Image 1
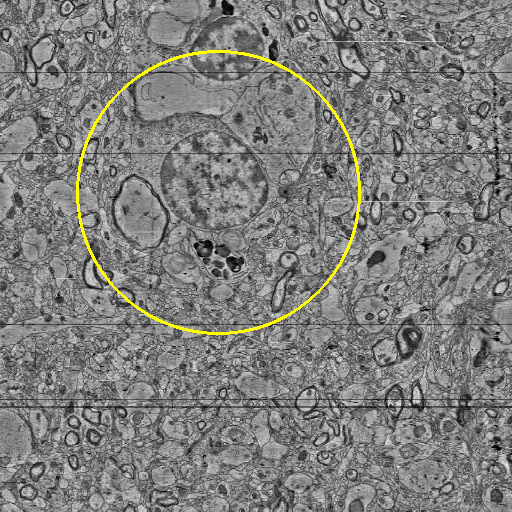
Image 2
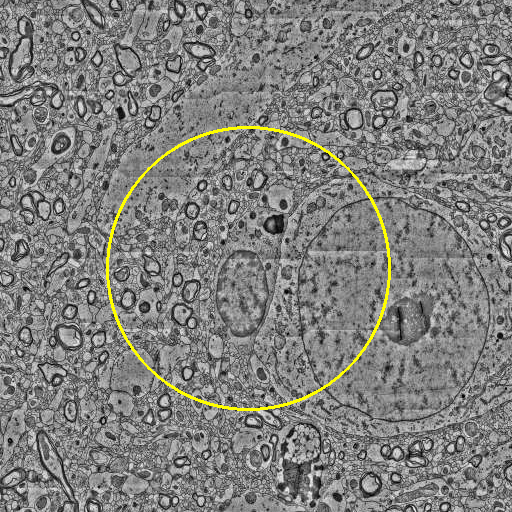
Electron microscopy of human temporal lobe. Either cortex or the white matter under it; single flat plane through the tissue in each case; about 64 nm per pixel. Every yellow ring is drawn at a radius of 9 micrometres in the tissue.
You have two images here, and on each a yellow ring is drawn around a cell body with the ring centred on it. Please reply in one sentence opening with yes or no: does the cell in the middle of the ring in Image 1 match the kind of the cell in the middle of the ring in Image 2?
Yes, the two images show cells of one kind at the centres of their rings.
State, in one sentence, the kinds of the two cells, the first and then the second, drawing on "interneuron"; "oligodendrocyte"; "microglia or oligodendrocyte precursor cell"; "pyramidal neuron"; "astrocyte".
Both rings mark an oligodendrocyte, one in each picture.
